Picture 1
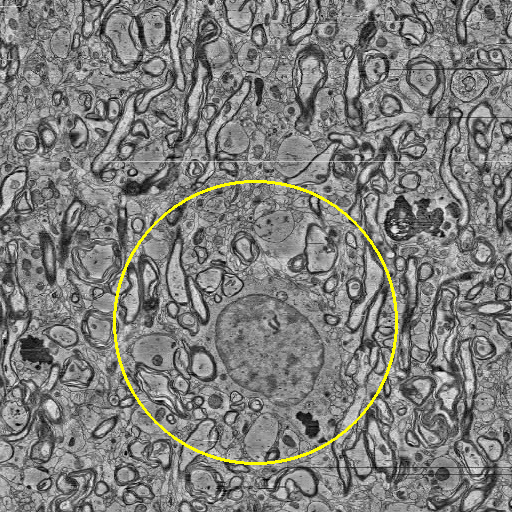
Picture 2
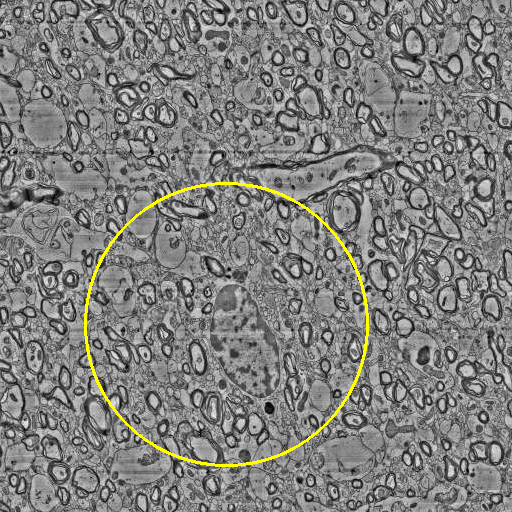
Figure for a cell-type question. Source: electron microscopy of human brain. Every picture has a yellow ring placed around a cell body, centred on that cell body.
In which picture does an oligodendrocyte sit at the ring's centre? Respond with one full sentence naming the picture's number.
The cell in the middle of the ring in picture 1 is the one sought.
